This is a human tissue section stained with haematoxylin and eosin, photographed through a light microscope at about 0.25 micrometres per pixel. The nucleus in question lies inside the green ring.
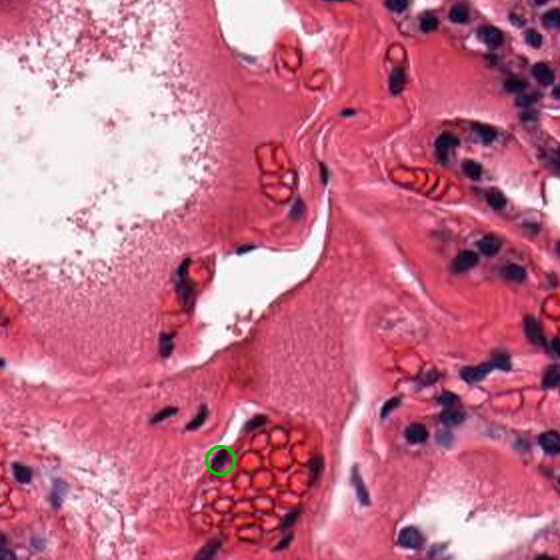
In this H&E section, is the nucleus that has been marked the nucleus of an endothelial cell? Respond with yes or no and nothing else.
yes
